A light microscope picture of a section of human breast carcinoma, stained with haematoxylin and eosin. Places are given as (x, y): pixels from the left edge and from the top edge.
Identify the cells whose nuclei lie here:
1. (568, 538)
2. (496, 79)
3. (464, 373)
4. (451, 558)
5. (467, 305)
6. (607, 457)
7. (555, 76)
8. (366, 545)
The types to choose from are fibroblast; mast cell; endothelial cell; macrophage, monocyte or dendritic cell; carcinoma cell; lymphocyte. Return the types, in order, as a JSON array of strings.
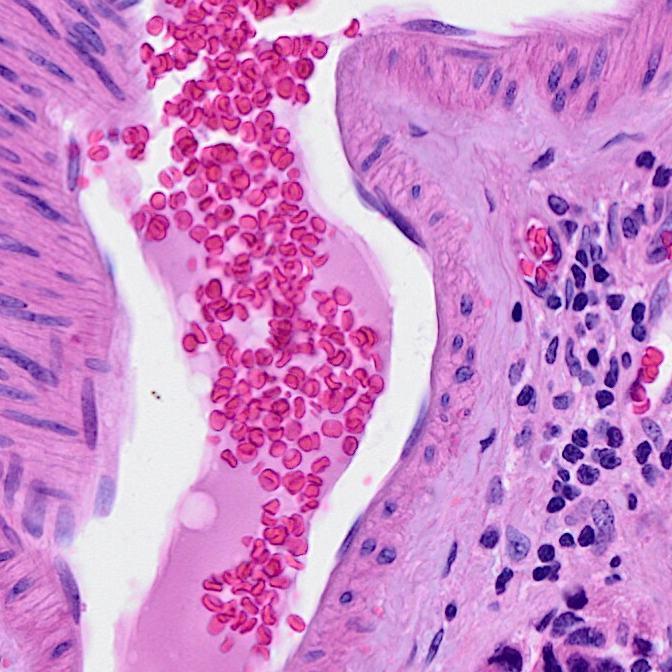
["lymphocyte", "endothelial cell", "endothelial cell", "fibroblast", "endothelial cell", "lymphocyte", "endothelial cell", "endothelial cell"]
